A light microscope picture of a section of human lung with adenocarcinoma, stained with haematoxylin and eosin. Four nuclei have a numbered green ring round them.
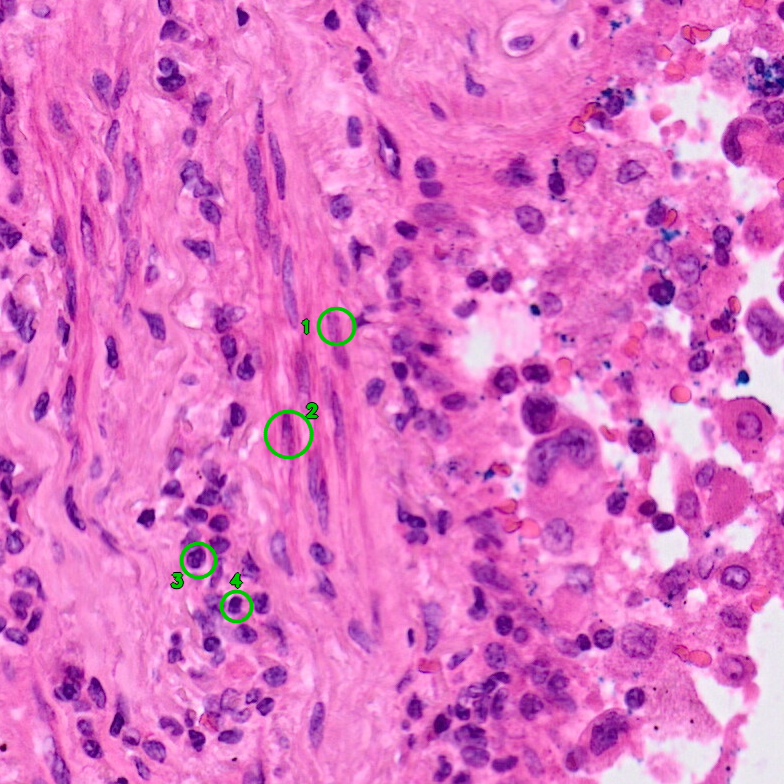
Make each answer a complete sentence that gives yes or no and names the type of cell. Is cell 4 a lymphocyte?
Yes, the cell whose number is 4 is a lymphocyte.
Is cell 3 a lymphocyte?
Yes, in this tissue section, number 3 is a lymphocyte.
